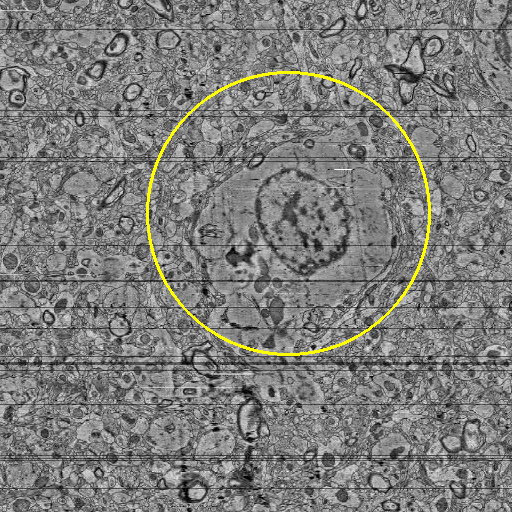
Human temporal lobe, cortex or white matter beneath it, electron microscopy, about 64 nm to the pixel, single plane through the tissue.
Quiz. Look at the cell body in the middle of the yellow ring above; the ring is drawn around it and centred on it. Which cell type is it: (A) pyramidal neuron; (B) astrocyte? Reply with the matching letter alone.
B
